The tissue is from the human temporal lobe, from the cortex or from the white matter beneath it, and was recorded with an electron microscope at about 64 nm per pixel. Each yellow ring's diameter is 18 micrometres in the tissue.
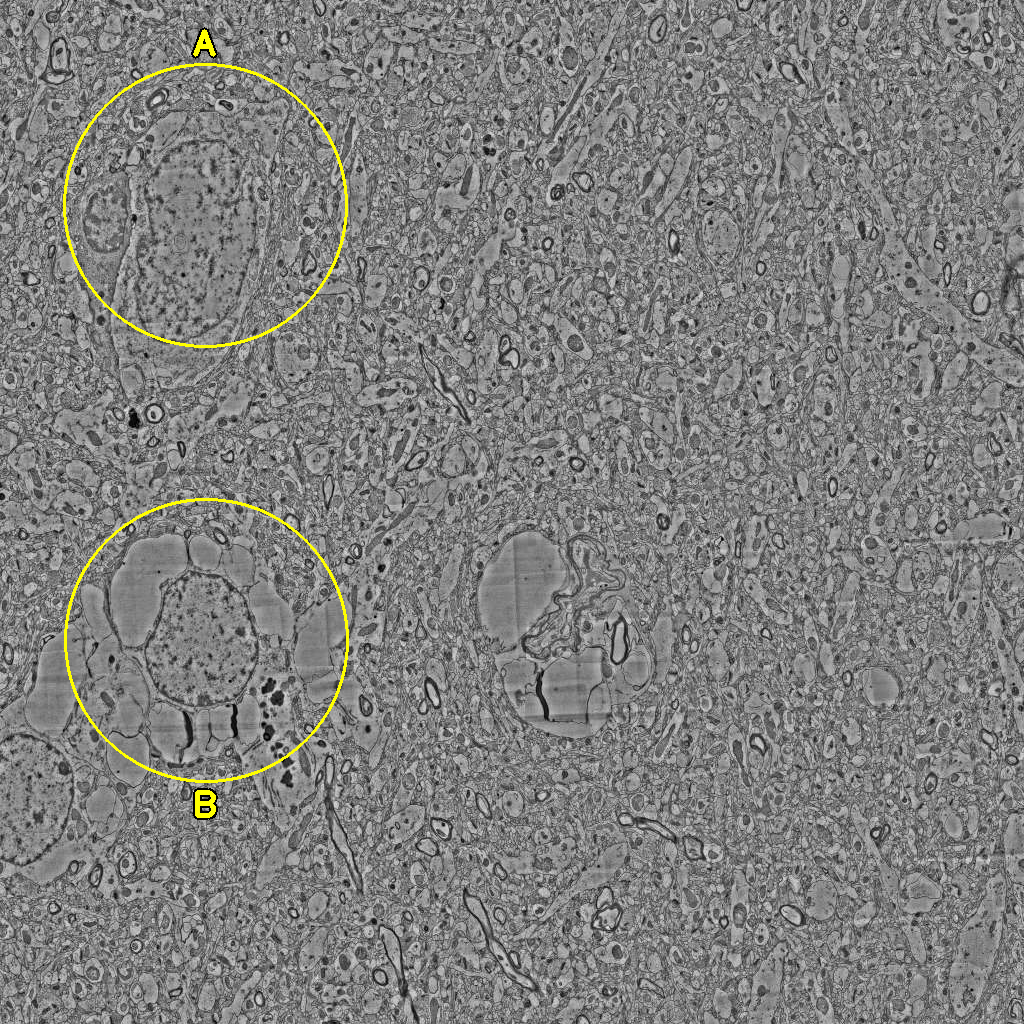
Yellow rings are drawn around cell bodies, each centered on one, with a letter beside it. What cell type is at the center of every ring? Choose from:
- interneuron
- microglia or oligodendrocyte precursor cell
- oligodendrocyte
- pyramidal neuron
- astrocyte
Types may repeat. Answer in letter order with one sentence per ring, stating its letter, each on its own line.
The cell at the center of ring A is an interneuron.
The cell at the center of ring B is an astrocyte.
